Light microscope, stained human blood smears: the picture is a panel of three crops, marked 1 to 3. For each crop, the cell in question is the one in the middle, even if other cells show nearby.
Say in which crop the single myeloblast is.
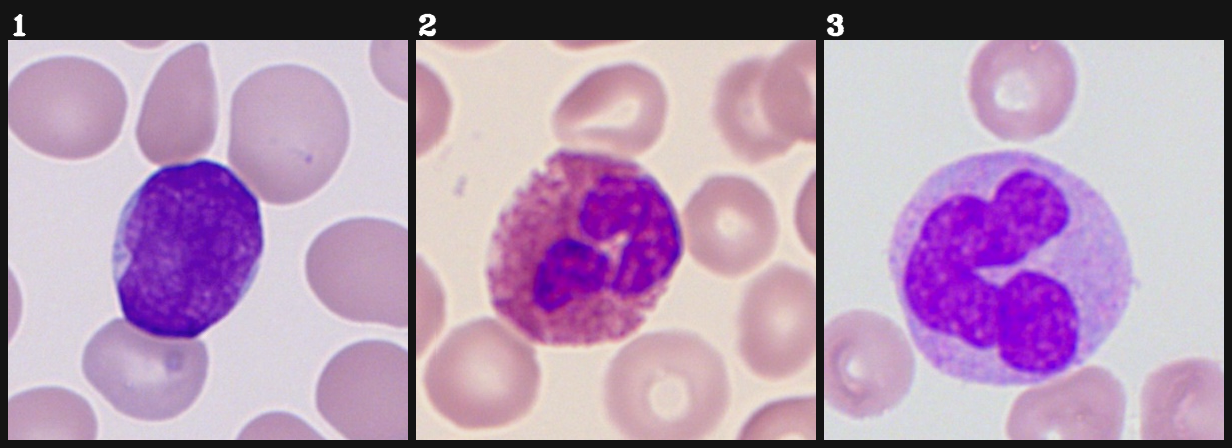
1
